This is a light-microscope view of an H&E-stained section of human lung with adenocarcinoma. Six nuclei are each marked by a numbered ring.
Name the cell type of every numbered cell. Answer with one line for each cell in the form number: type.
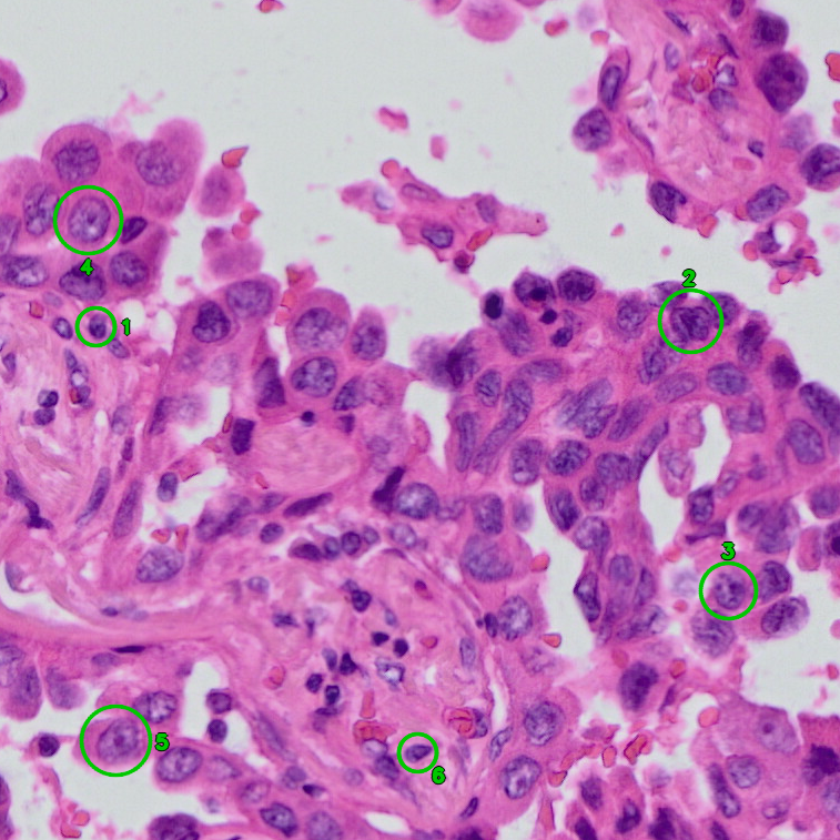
1: lymphocyte
2: carcinoma cell
3: carcinoma cell
4: carcinoma cell
5: carcinoma cell
6: lymphocyte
